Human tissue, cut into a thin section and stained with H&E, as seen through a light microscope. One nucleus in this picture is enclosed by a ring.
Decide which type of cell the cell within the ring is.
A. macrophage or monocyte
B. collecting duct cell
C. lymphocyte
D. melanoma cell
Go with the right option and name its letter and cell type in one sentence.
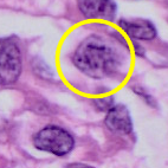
Given that the cell within the ring is a melanoma cell, option D is the correct one.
